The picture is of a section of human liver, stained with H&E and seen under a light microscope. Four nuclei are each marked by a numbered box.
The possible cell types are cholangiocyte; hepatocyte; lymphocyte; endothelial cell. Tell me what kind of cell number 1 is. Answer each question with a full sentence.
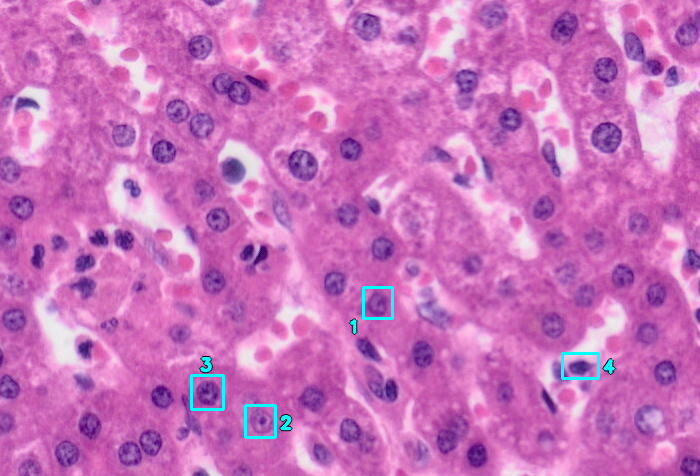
The cell given label 1 is a hepatocyte.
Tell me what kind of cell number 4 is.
Cell 4 is classified as a lymphocyte.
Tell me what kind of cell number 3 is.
The cell assigned the number 3 is a hepatocyte.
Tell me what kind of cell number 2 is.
Here the cell numbered 2 is a hepatocyte.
